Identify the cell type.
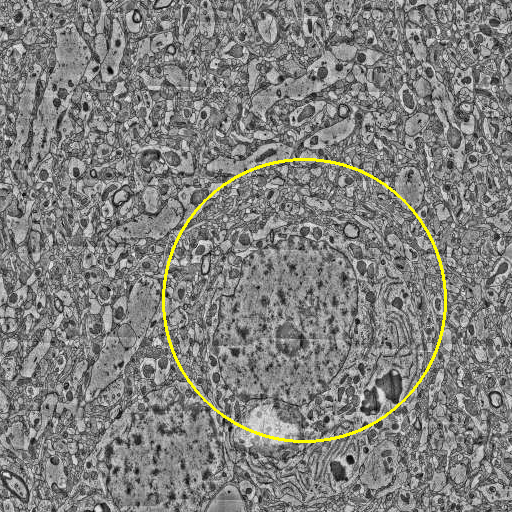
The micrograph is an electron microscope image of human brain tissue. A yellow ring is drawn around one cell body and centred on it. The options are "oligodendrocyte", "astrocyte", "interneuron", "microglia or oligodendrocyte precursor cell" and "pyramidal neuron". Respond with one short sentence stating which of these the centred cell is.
The cell body in the ring belongs to an interneuron.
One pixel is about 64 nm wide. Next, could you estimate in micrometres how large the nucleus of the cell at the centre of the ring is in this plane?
The nucleus has a long axis of about 11 micrometres and a short axis of about 9 micrometres in this plane.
